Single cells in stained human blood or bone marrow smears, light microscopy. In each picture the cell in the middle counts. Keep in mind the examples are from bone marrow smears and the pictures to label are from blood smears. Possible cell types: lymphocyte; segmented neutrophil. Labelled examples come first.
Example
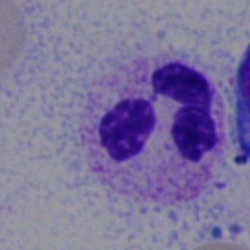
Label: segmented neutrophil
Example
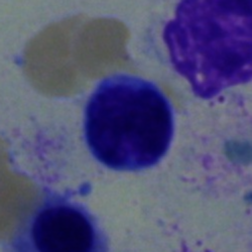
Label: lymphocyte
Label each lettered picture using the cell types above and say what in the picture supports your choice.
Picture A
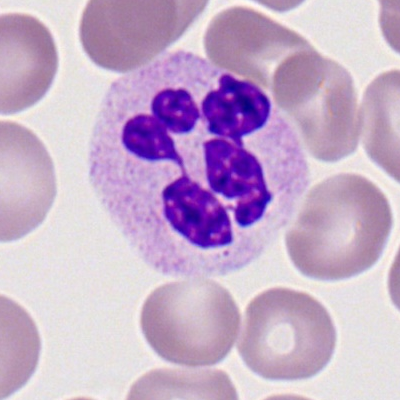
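segmented neutrophil. The cytoplasm is plentiful and pale pinkish-lilac.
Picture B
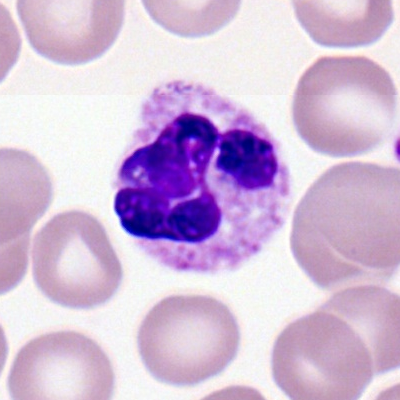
segmented neutrophil. The nucleus is divided into several separate lobes rather than forming one mass.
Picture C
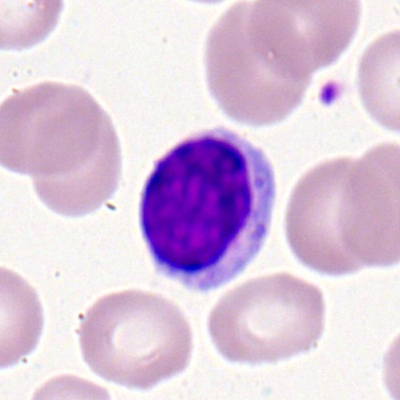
lymphocyte. The cytoplasm is scant compared with the nucleus.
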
